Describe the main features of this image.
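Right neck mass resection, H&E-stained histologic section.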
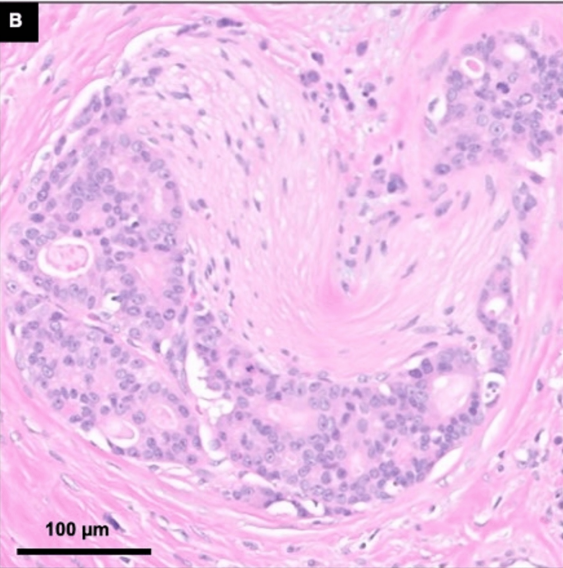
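A nerve bundle of wavy, pink spindle cells lies at the center and is closely surrounded by nests of atypical epithelial tumor cells. The tumor cells have round to ovoid nuclei with visible nucleoli and pale pink cytoplasm, and they form small glandular spaces, some containing pink secretion. This is carcinoma showing perineural invasion.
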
